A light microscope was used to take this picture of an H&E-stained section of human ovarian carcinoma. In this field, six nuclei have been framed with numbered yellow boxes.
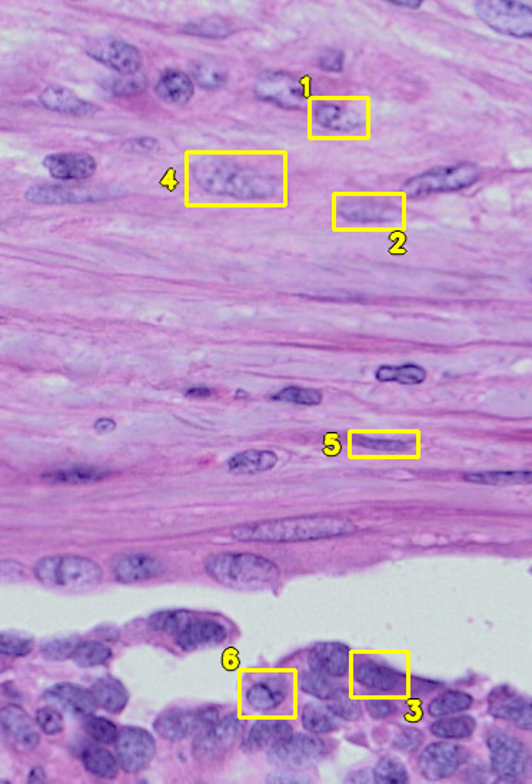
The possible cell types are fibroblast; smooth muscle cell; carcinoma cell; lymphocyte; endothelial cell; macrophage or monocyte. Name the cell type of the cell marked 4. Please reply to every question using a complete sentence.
The cell identified by the number 4 is a fibroblast.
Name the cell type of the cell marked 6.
The cell identified by the number 6 is a macrophage or monocyte.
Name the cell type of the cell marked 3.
In this section, the cell tagged 3 is a carcinoma cell.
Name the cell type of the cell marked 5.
The cell whose nucleus carries the number 5 is a fibroblast.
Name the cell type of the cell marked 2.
The cell identified by the number 2 is a fibroblast.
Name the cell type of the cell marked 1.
In the tissue shown, cell 1 is a fibroblast.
